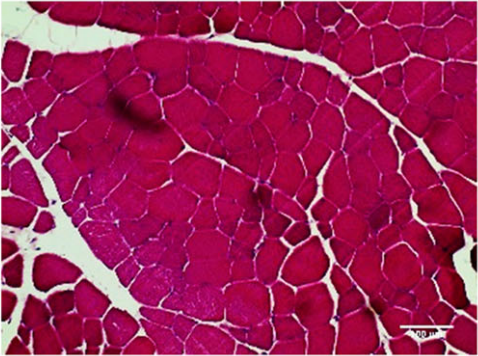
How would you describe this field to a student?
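Skeletal muscle is seen in cross section, with the muscle fibers appearing as angular pink-red profiles that are closely fitted against one another. The fibers lie in bundles bordered by pale, lightly stained strands of connective tissue, and a broad pale septum runs along the lower left. Thin white lines outline the individual fibers, and there are scattered small purple nuclei at their margins.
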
